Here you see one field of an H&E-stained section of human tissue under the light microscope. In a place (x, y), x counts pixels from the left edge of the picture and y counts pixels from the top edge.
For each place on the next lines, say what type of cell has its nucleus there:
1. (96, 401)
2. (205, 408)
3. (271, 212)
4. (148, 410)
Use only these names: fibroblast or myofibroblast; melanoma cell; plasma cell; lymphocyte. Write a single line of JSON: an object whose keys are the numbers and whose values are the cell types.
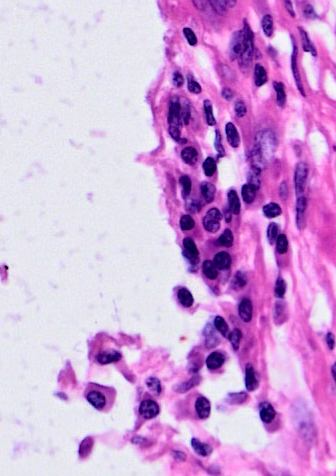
{"1": "plasma cell", "2": "plasma cell", "3": "lymphocyte", "4": "plasma cell"}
